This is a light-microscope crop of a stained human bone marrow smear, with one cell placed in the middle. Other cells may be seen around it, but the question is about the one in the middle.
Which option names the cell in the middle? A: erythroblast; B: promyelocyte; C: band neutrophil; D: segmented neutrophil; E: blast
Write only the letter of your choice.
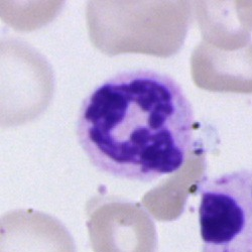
D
